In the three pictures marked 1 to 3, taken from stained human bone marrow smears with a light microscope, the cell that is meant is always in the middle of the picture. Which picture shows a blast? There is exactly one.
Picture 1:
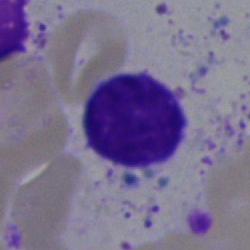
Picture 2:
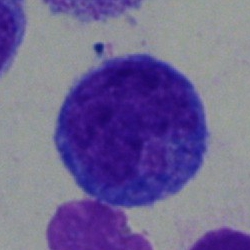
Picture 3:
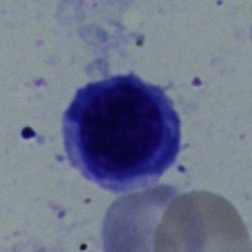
2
